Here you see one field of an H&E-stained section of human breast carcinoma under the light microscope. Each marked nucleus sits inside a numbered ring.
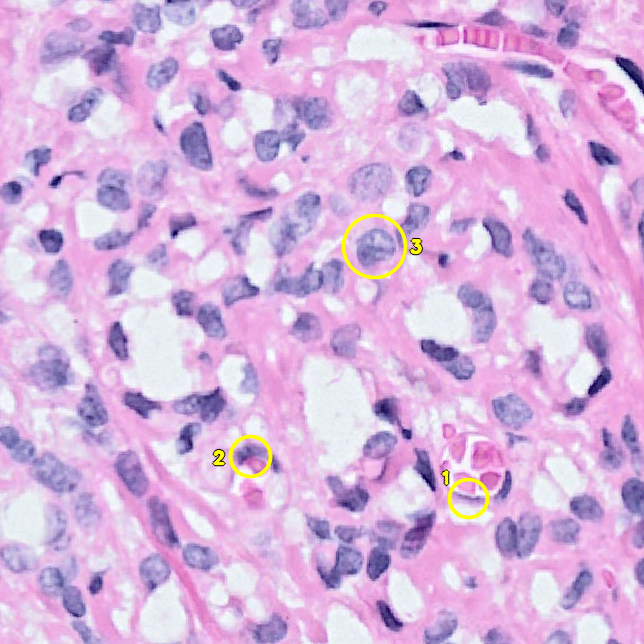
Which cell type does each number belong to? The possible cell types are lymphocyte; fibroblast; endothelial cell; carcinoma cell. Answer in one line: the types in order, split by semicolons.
endothelial cell; endothelial cell; carcinoma cell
